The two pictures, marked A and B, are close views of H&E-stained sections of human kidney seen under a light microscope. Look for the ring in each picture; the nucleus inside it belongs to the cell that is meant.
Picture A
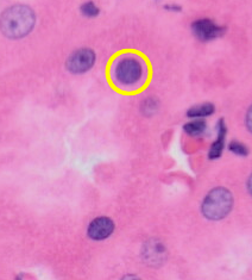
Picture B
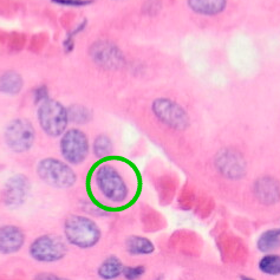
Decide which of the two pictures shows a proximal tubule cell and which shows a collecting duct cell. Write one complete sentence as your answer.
It is picture A that shows a proximal tubule cell, and picture B that shows a collecting duct cell.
